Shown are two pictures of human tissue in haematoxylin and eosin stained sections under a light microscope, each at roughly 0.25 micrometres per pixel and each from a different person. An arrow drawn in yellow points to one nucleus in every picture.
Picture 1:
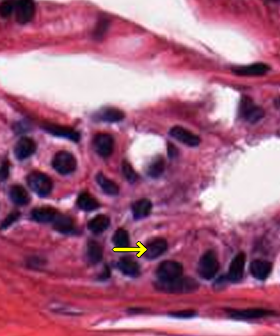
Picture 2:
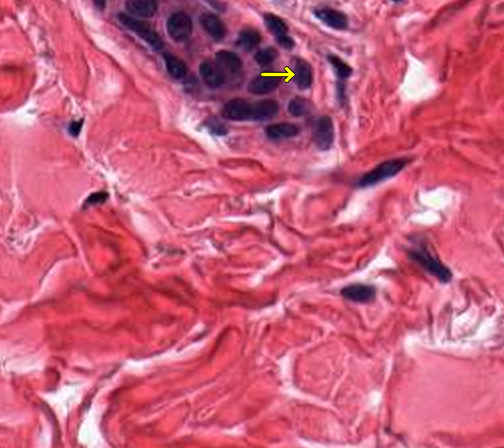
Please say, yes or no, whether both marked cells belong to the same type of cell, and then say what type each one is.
No, the first is a sweat gland cell and the second a keratinocyte.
